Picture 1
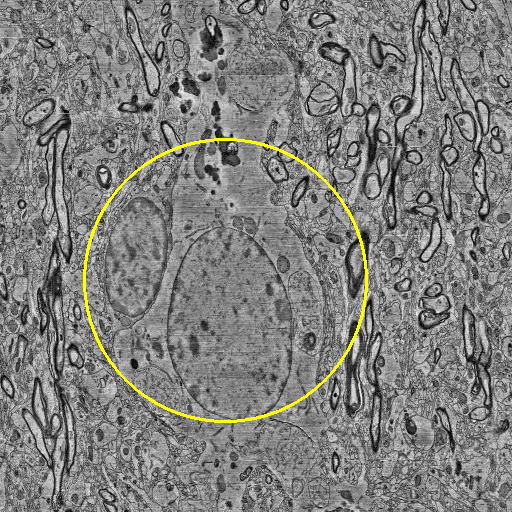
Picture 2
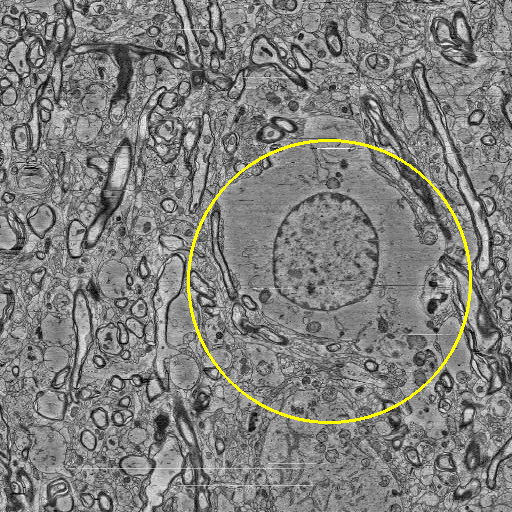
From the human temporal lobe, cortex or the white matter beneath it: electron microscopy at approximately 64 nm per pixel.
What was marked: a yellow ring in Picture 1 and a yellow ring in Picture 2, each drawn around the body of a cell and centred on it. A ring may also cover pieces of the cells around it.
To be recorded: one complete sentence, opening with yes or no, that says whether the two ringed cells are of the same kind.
Yes, the two ringed cells are of the same kind.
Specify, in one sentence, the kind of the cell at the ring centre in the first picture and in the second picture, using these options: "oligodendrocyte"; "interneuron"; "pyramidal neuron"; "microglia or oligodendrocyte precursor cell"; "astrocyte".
Each one of the two ringed cells is an astrocyte.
